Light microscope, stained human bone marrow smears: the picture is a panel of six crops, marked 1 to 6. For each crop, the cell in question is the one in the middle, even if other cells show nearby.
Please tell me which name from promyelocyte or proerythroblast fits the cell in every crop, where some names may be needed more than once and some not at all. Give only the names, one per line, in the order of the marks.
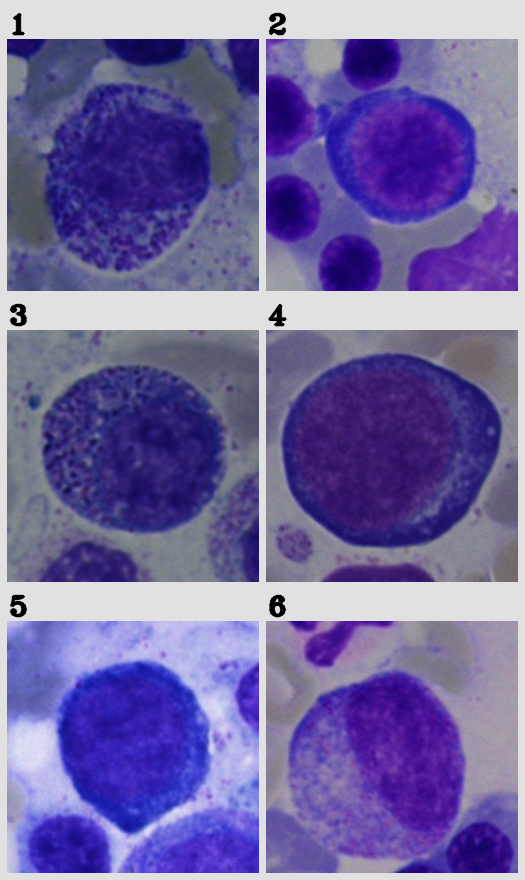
promyelocyte
proerythroblast
promyelocyte
proerythroblast
proerythroblast
promyelocyte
